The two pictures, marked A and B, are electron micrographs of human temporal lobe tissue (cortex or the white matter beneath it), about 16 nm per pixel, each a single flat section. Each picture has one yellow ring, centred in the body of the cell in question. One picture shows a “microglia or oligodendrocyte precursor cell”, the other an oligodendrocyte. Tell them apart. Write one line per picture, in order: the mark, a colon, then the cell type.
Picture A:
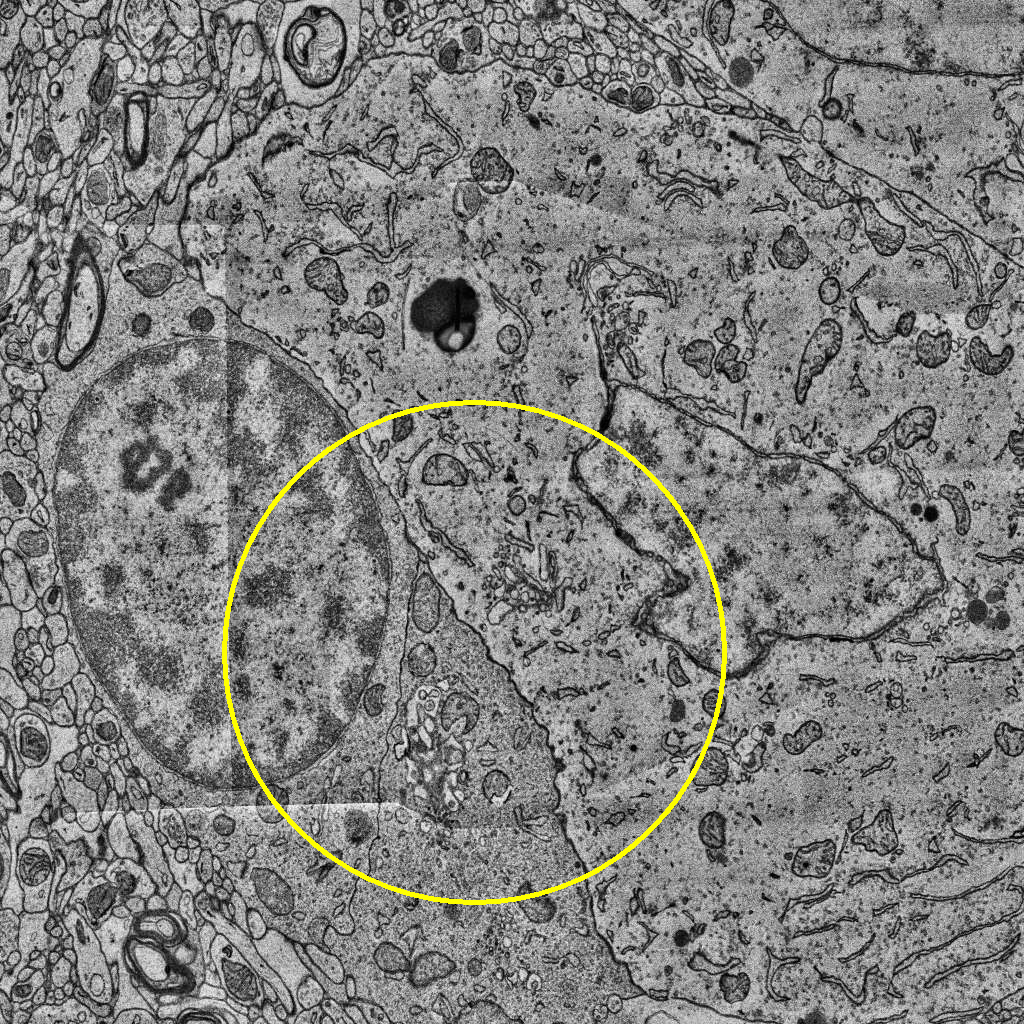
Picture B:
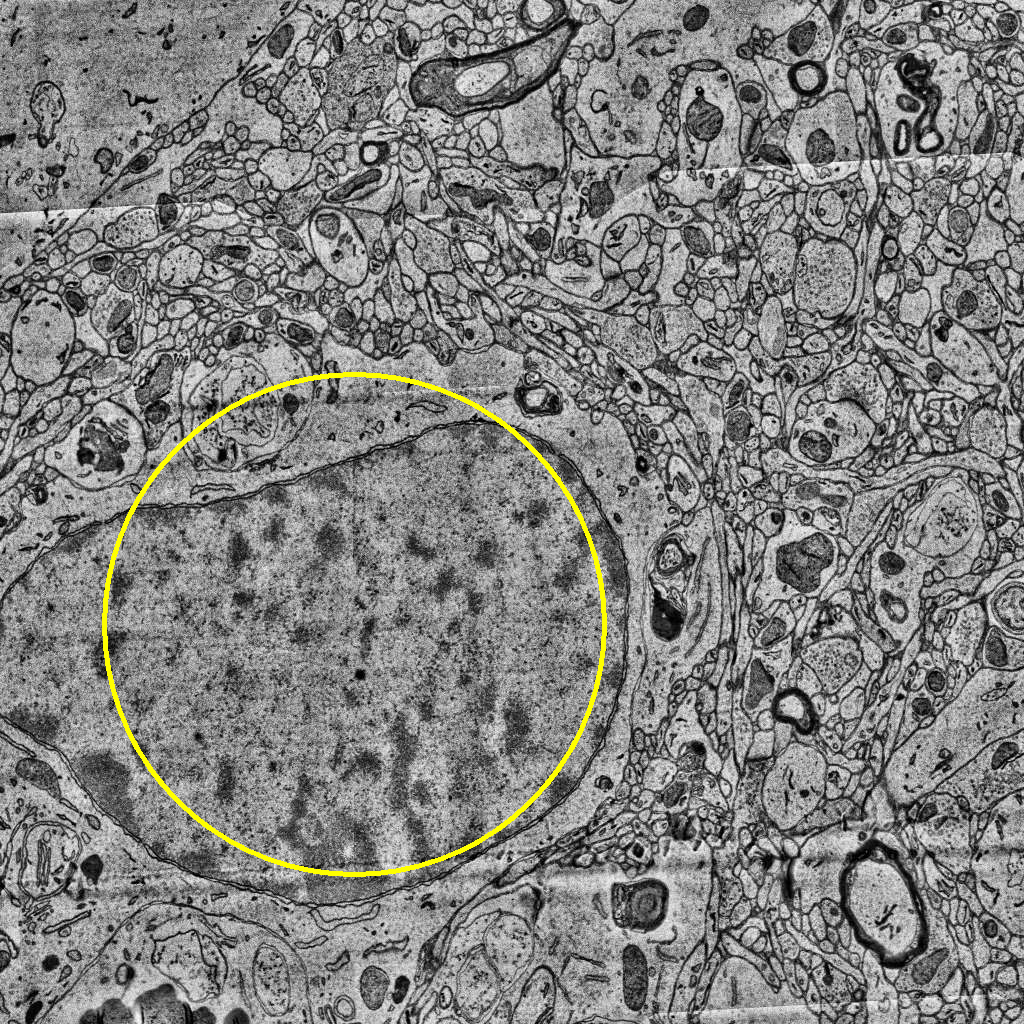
A: oligodendrocyte
B: microglia or oligodendrocyte precursor cell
